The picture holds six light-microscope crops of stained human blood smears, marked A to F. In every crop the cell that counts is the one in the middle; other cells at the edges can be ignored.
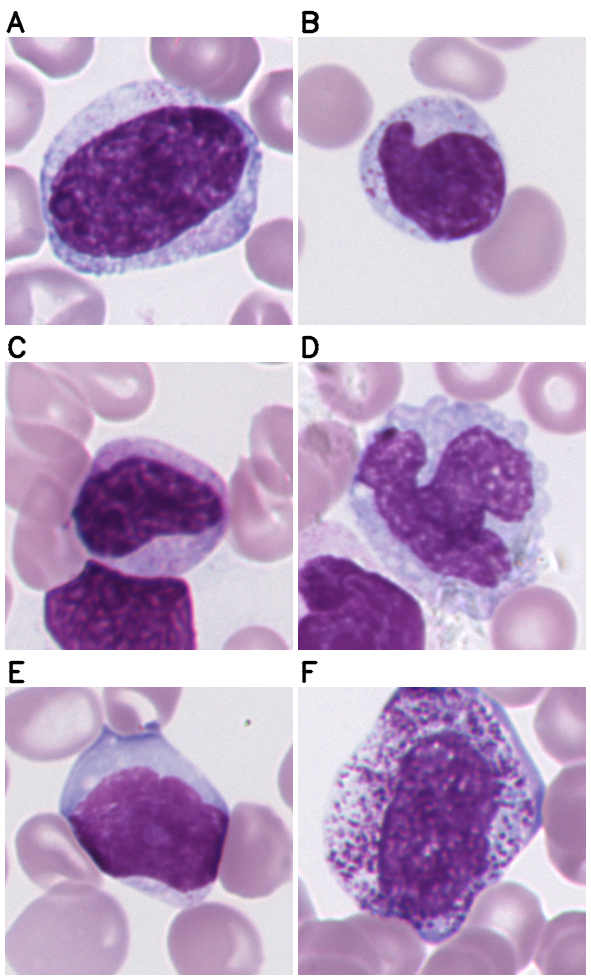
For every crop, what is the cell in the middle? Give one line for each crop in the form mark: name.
A: promyelocyte
B: large granular lymphocyte
C: metamyelocyte
D: monocyte
E: blast
F: promyelocyte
